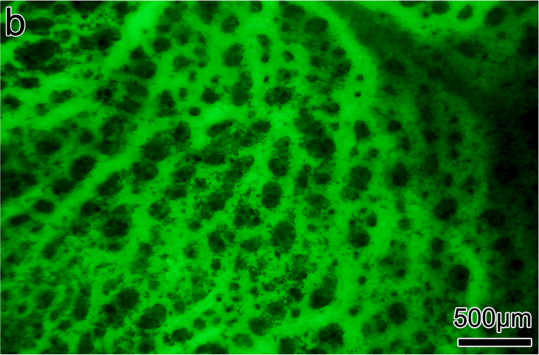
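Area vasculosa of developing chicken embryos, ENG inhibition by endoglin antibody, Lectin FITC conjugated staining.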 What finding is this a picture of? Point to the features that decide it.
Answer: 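Very dense capillary plexus. The dark spaces between the vessels are small and scattered.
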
